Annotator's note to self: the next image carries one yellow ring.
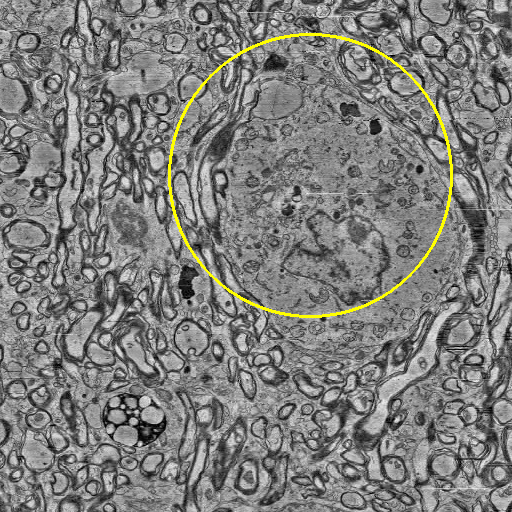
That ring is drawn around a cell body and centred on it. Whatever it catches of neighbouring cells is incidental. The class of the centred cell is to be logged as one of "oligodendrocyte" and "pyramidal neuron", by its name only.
pyramidal neuron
